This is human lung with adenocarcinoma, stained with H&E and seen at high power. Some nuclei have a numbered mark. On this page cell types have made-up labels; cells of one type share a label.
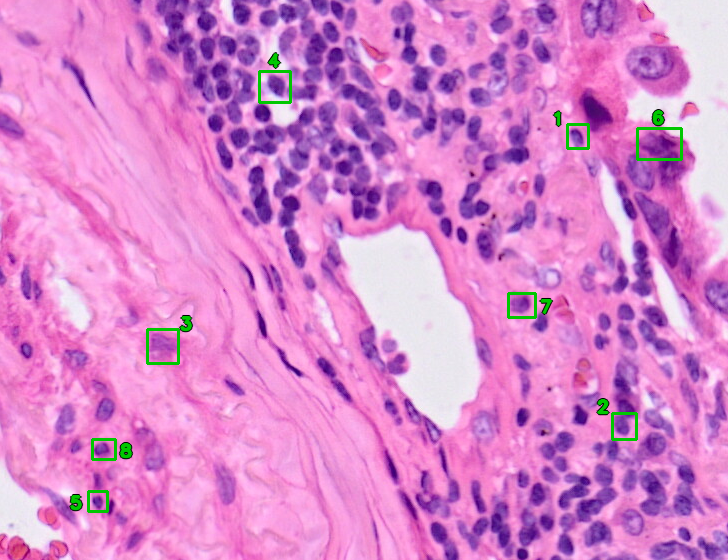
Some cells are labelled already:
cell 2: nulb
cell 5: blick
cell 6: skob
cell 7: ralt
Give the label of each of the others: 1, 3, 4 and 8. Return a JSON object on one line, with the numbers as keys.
{"1": "nulb", "3": "blick", "4": "nulb", "8": "blick"}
